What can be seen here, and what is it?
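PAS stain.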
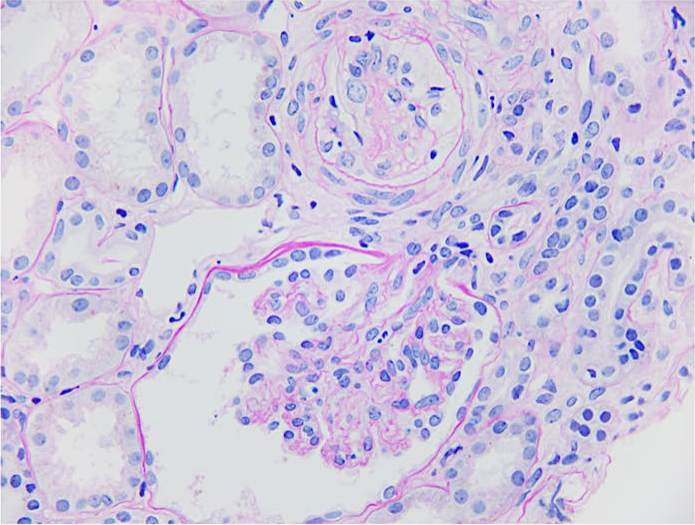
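This is renal cortex with glomeruli among tubules. Above it lies another rounded glomerular profile surrounded by concentric pink layers. The interstitium between them holds many scattered dark nuclei. The tubules around them are lined by cuboidal cells with pale cytoplasm and round blue nuclei, and their basement membranes stain pink.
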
